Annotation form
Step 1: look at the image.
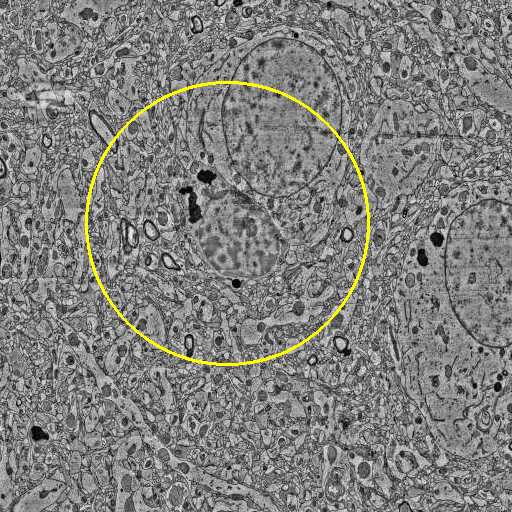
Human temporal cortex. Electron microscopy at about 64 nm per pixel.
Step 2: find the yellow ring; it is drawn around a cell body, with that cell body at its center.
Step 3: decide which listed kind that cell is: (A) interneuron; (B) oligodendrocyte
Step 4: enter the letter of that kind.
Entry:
B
